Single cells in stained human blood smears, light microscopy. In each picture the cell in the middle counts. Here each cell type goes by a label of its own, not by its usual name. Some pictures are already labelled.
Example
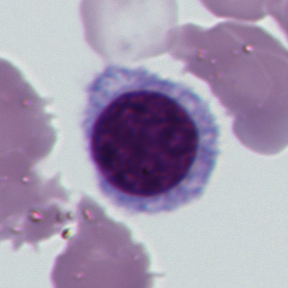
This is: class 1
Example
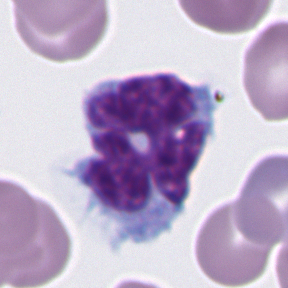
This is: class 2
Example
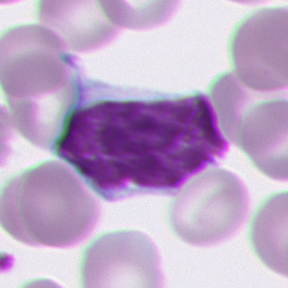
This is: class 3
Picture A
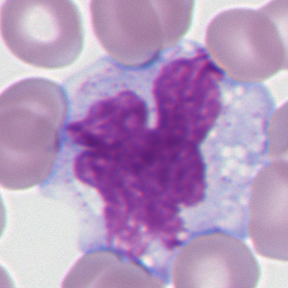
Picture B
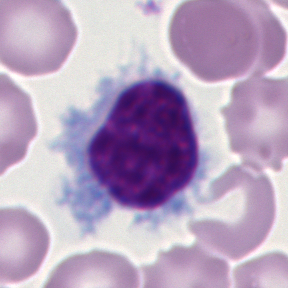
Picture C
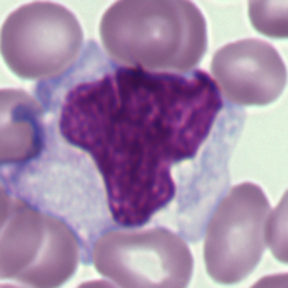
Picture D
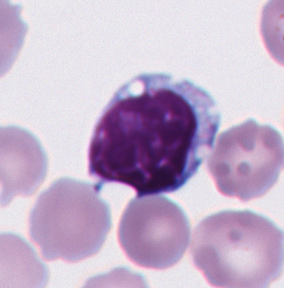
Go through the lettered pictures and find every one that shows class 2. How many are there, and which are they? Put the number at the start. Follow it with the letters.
2, namely A, C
